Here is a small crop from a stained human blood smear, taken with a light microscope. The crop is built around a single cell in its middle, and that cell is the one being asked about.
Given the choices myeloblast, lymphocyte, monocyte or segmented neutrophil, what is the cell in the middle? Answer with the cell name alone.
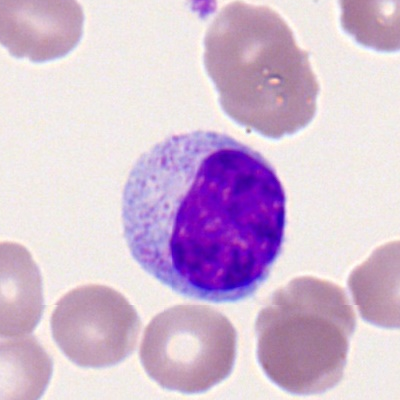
lymphocyte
